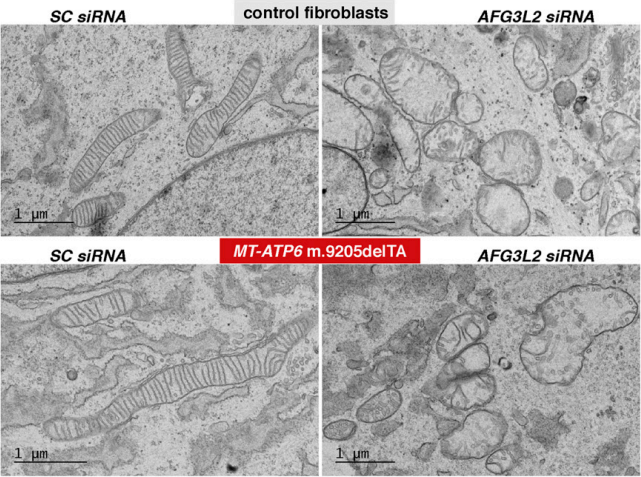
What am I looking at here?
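In the two left images the mitochondria are elongated and slender, and their cristae run as regular, closely spaced parallel folds across the organelle. In the two right images the mitochondria are rounded and swollen, with a paler matrix. Their cristae are few, short and irregular, and some of the inner membrane appears as scattered rounded profiles rather than orderly folds.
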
